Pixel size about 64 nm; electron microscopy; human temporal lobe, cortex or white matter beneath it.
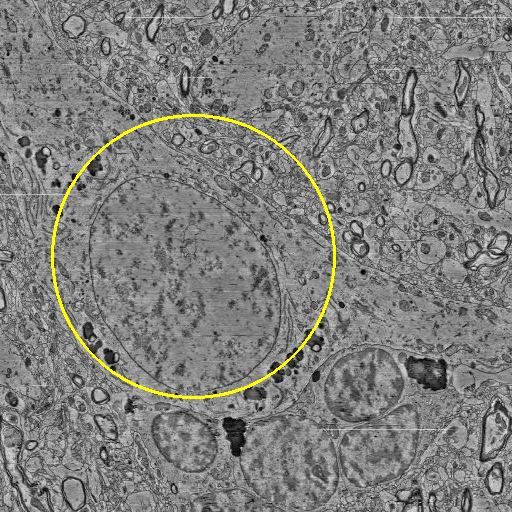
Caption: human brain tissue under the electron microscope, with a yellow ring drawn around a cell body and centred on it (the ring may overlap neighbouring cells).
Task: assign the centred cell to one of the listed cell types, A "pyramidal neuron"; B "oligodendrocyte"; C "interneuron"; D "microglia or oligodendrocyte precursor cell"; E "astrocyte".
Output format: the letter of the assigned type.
A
